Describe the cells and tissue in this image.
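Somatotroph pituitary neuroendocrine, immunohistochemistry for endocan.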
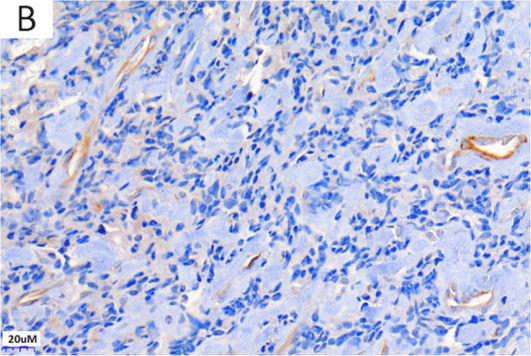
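Densely packed tumour cells with small, dark, often elongated nuclei lie in a pale bluish background. The tumour cells show at most a faint brown tint. Strong brown stain outlines thin-walled small vessels with open lumina, formed by endothelial cells running between the tumour cells.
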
